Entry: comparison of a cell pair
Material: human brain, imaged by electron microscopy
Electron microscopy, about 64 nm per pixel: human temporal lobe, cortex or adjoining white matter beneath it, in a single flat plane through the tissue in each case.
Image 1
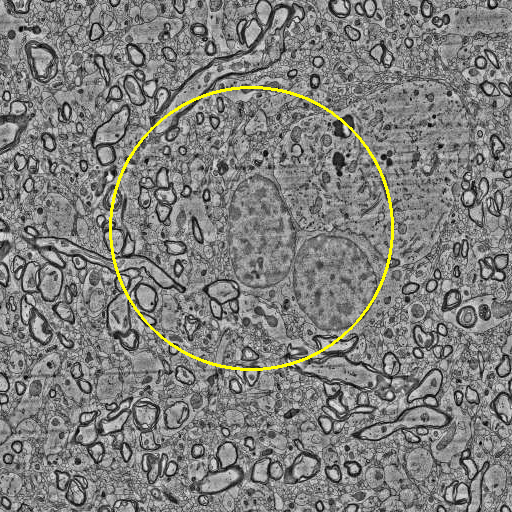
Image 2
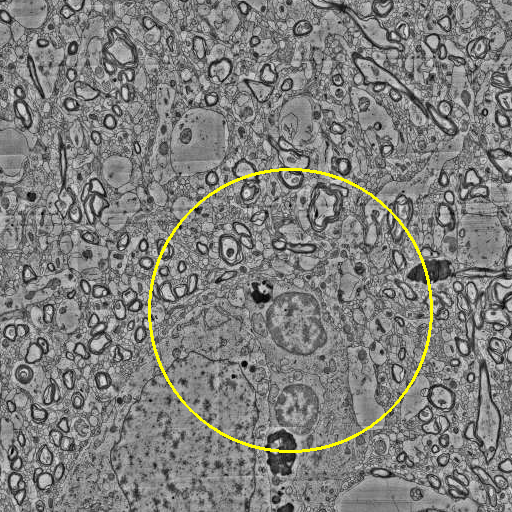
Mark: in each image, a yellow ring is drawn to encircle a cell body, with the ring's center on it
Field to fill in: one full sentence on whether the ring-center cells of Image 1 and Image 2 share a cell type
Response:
Yes, Image 1 and Image 2 each show a ring-center cell of one shared type.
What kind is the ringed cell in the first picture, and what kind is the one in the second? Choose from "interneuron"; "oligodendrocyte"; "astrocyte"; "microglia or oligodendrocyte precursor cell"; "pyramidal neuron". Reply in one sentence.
In the first picture and in the second, the ring is centred on an oligodendrocyte.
